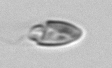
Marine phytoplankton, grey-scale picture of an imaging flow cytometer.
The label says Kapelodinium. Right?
Right.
